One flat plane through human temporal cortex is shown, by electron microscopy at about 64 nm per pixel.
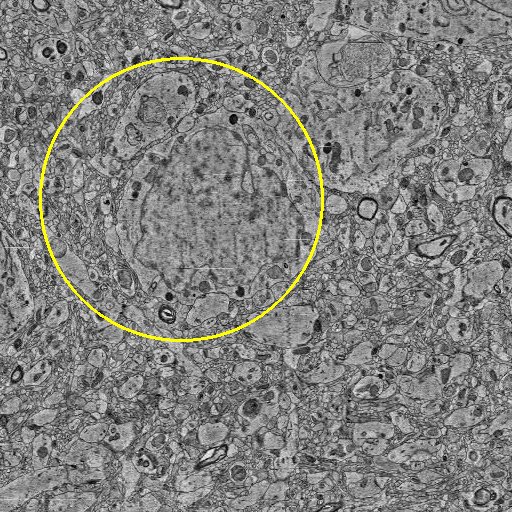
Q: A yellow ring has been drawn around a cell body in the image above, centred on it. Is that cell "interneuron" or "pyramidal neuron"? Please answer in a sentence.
The ring surrounds the cell body of an interneuron.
